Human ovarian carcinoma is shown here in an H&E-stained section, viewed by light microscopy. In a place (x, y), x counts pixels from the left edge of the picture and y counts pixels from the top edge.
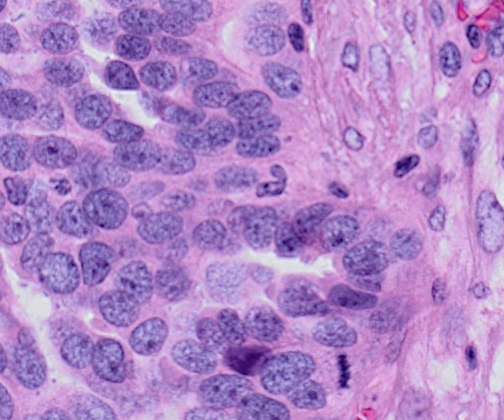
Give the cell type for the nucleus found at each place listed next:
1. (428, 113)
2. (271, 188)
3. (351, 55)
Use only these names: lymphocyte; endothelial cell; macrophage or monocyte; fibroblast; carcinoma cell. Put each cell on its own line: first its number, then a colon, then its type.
1: fibroblast
2: macrophage or monocyte
3: fibroblast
